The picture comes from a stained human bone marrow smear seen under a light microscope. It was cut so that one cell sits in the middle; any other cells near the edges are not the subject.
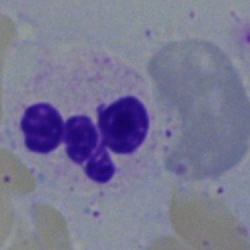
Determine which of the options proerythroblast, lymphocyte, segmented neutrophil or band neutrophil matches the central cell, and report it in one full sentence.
This particular crop is centered on a segmented neutrophil.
